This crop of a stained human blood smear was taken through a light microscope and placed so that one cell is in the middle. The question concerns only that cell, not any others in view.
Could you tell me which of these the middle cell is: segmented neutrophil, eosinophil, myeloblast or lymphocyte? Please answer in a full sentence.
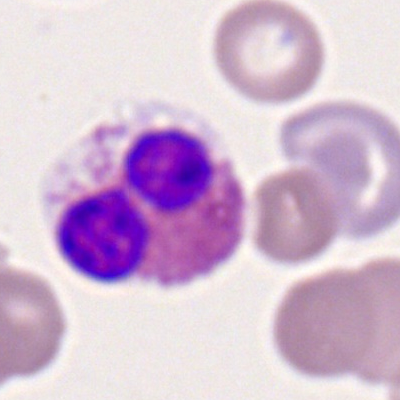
The centrally positioned cell in the crop represents an eosinophil.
